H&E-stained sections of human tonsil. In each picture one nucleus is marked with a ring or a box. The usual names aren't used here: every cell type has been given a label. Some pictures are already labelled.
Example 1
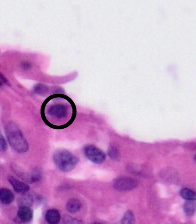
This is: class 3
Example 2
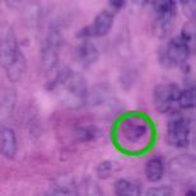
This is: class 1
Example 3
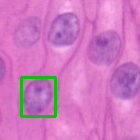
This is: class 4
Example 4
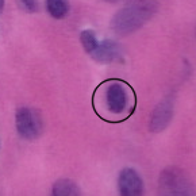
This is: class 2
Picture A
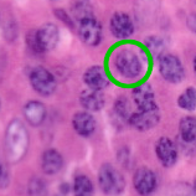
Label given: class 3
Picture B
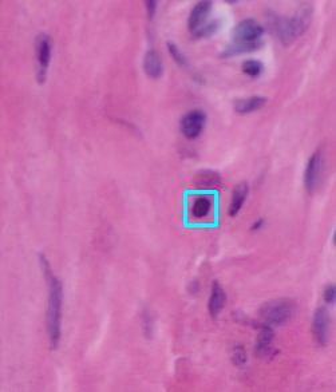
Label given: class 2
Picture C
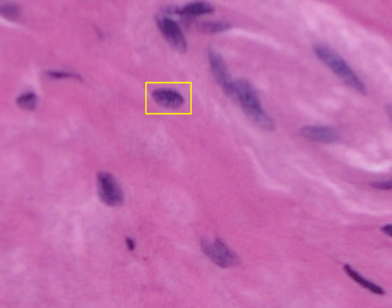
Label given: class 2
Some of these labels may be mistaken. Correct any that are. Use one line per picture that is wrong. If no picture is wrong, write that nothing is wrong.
All correct.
